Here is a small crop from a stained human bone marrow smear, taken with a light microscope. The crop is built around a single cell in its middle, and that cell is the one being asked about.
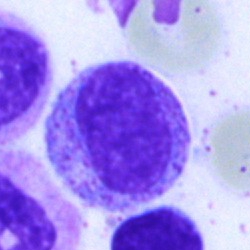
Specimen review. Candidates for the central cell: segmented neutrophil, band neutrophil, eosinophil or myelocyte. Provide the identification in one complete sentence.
The cell centered in this field of view is a myelocyte.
